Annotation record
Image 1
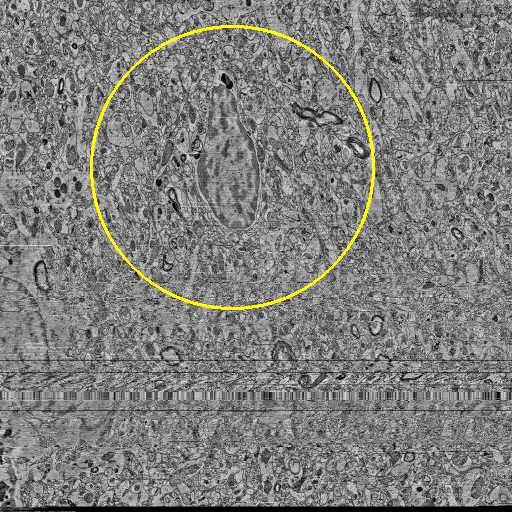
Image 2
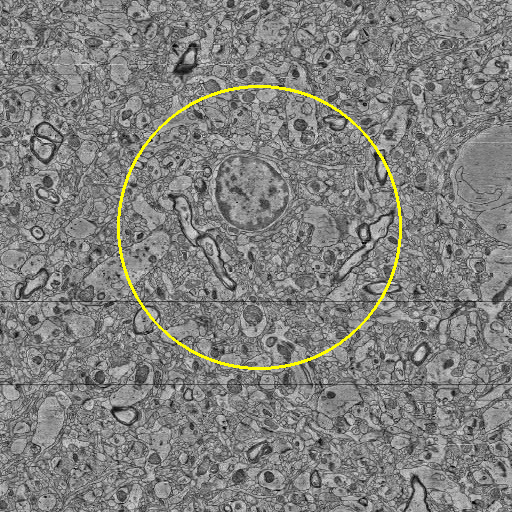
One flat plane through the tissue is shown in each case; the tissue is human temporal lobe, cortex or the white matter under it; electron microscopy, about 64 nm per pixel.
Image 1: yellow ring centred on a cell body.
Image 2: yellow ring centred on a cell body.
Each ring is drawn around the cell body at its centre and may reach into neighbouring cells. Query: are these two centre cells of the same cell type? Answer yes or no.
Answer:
yes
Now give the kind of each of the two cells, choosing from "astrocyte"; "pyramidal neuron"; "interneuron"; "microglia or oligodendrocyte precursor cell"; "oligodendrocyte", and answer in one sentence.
Each of the two pictures has a microglial cell or oligodendrocyte precursor cell at the ring centre.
